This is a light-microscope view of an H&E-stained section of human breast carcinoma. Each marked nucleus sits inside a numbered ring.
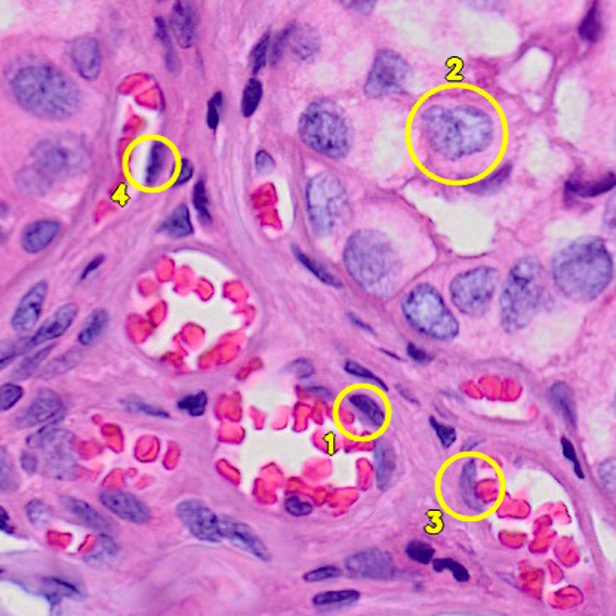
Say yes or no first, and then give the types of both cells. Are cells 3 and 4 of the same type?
Yes, cells 3 and 4 are both to be classed as endothelial cells.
